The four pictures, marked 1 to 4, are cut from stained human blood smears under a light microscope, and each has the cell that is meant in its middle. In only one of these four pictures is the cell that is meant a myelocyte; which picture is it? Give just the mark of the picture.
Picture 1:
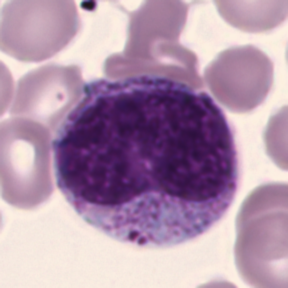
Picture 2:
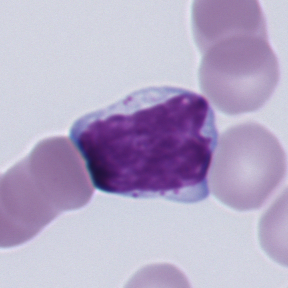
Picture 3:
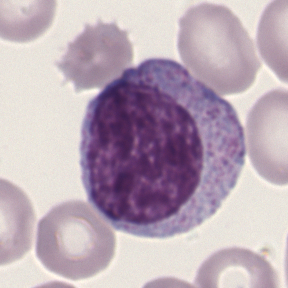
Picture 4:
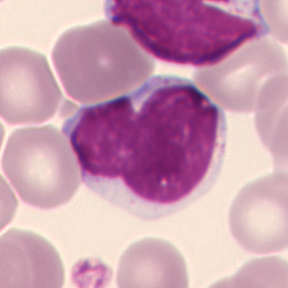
1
